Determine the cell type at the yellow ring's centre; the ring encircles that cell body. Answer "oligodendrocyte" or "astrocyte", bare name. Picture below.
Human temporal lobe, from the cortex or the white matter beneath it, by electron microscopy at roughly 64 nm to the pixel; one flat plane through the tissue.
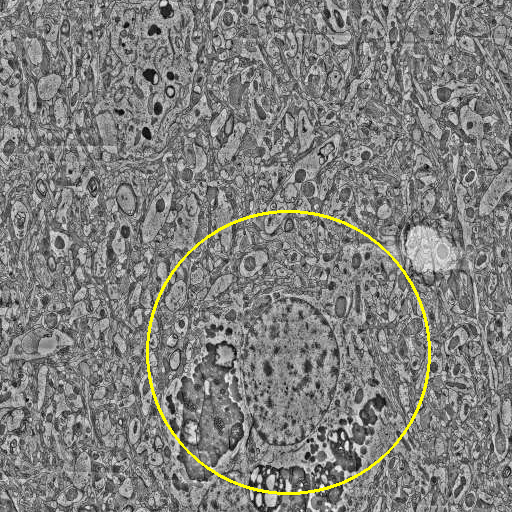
astrocyte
